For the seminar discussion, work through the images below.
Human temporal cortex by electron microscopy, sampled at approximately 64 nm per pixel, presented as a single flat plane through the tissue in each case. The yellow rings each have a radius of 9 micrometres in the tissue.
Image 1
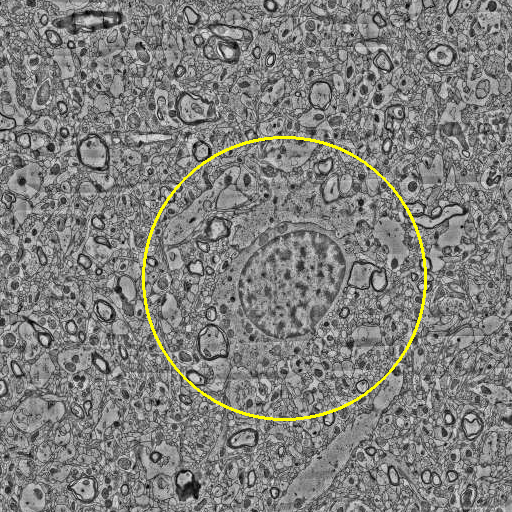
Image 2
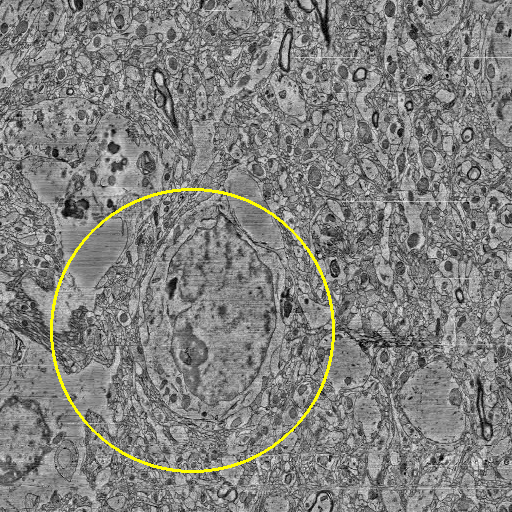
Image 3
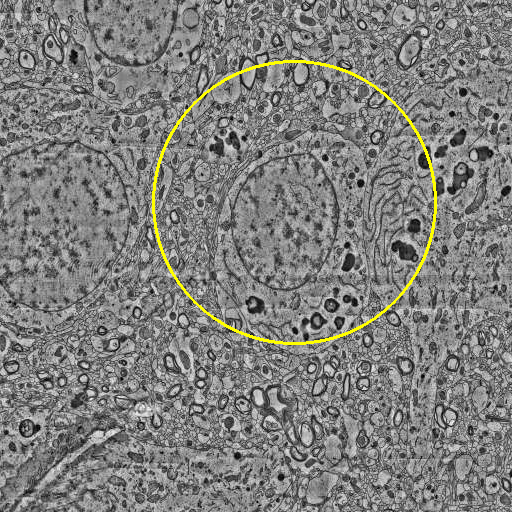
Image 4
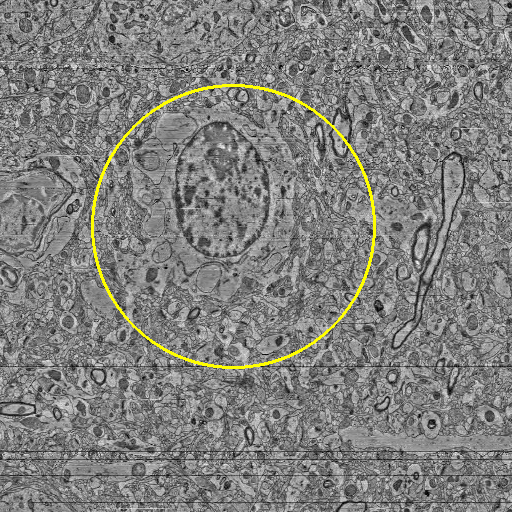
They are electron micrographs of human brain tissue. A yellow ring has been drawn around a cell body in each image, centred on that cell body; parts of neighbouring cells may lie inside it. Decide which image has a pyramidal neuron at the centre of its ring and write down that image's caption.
Image 3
